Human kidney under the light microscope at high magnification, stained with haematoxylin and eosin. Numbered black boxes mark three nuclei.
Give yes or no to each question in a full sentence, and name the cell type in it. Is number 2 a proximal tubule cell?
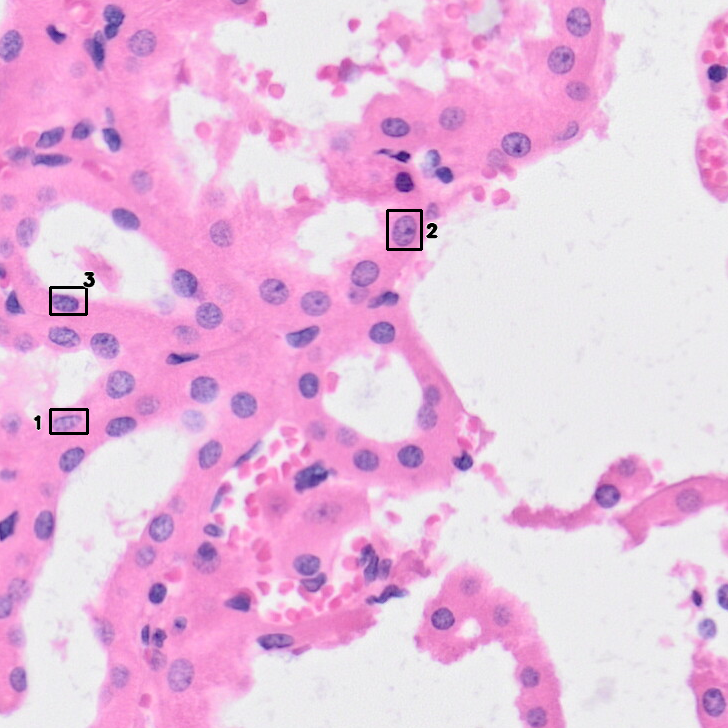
Yes, regarding number 2, the cell is a proximal tubule cell.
